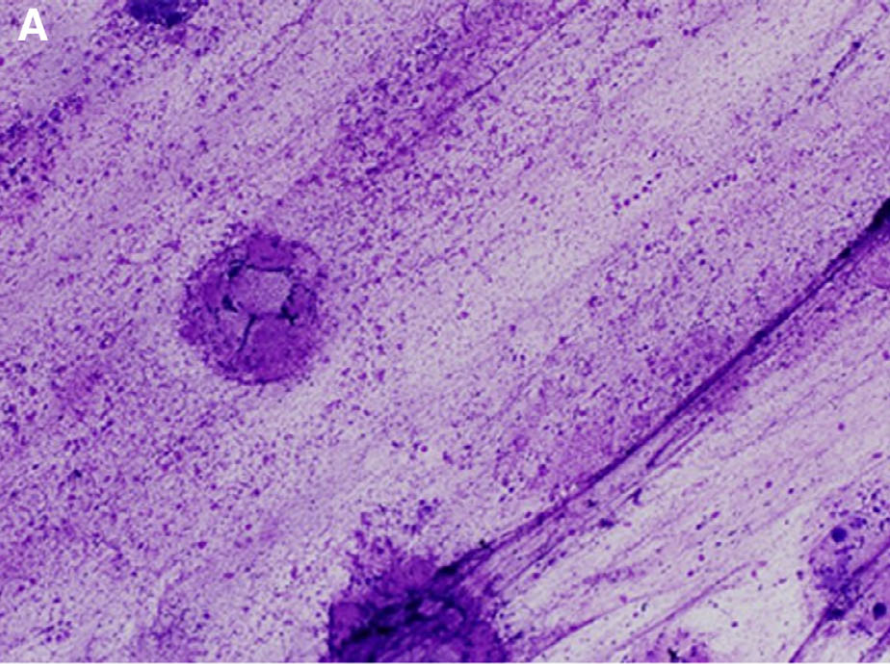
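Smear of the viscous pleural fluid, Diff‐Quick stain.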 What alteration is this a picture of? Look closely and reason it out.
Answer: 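The background between the few cells is covered by fine purple granules. The granular material forms streaks across the field.
Answer: extracellular granular material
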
